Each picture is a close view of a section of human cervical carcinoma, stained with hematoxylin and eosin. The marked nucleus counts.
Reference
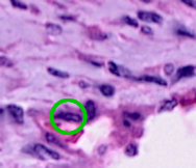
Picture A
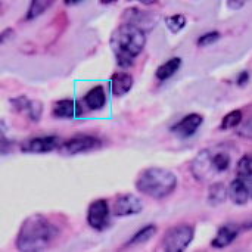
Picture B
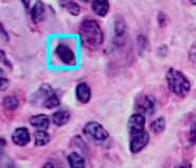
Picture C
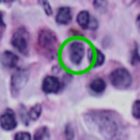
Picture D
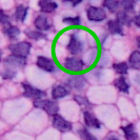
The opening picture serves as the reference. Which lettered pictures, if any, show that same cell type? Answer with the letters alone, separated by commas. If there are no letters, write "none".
none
